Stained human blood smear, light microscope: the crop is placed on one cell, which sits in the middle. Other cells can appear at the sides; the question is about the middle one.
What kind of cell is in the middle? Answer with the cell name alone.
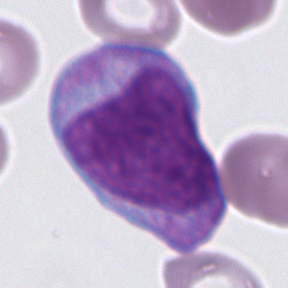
atypical promyelocyte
